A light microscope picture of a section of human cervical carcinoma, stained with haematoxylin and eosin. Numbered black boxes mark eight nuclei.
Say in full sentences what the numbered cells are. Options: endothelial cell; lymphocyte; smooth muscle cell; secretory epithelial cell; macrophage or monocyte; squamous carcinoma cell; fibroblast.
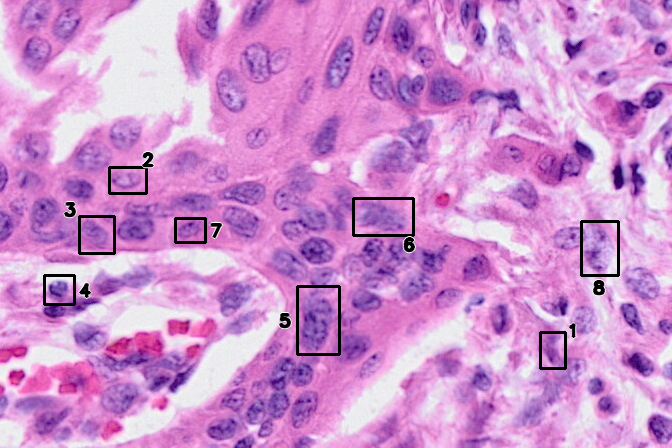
Cell 1 is a fibroblast, cell 2 is a squamous carcinoma cell, cell 3 is a squamous carcinoma cell, cell 4 is a lymphocyte, cell 5 is a squamous carcinoma cell, cell 6 is a squamous carcinoma cell, cell 7 is a squamous carcinoma cell and cell 8 is a fibroblast.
